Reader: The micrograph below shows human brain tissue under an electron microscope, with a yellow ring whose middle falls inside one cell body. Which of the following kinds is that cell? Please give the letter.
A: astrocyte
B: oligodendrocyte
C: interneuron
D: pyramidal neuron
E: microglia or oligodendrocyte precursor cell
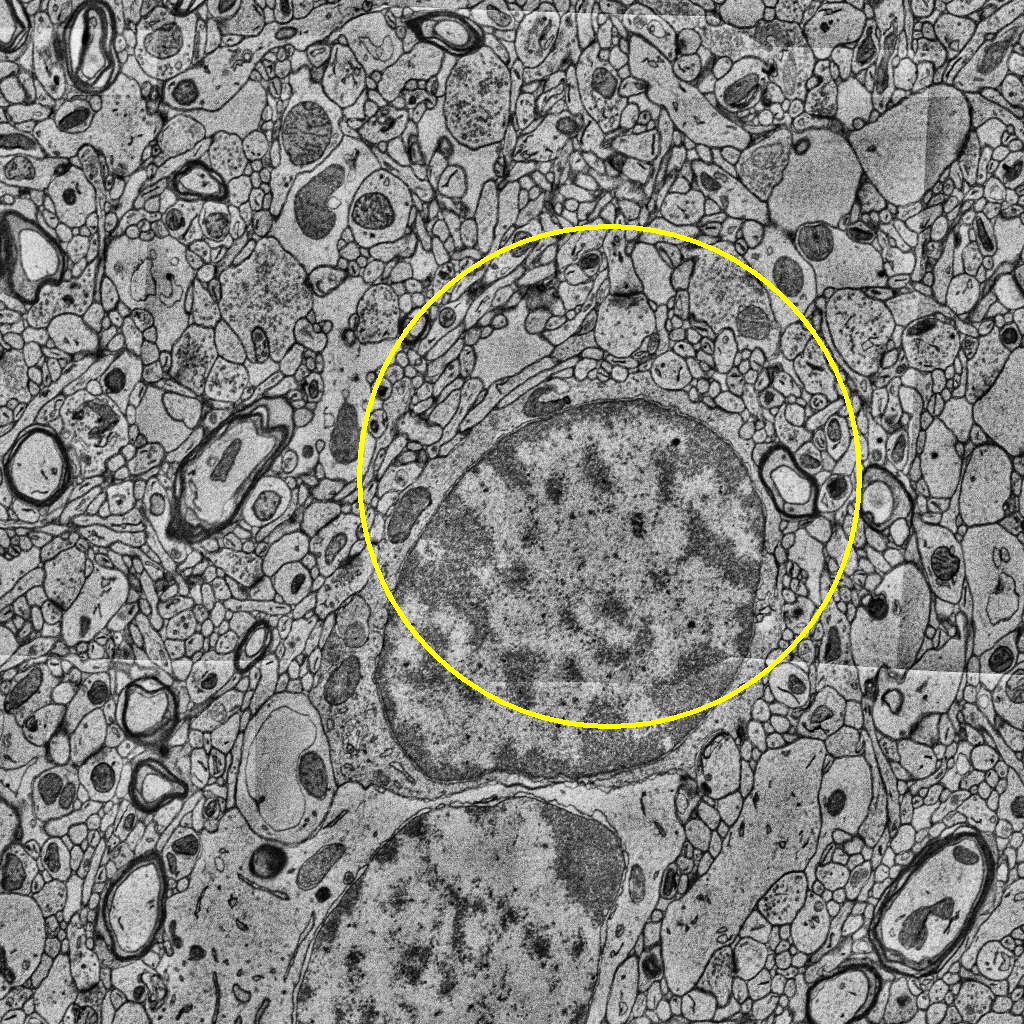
B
